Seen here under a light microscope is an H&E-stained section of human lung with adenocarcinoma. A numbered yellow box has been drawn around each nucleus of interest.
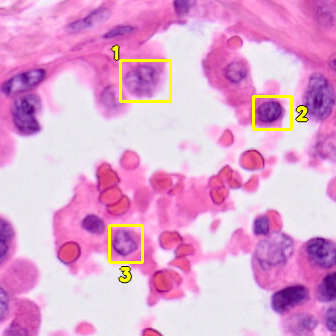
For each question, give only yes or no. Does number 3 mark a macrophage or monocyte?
yes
